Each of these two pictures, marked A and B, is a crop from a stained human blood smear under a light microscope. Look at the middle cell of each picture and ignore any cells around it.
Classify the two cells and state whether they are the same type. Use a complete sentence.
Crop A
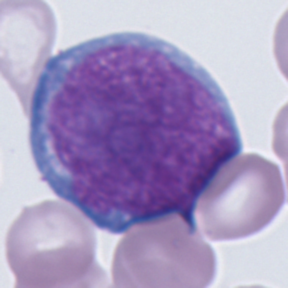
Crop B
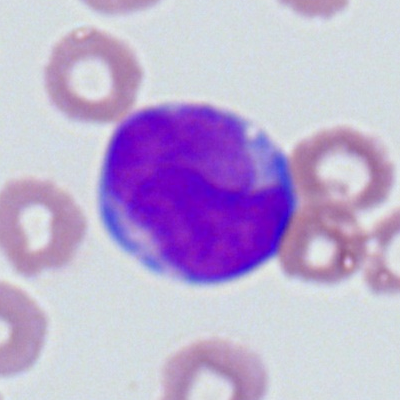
Yes, both crops show blasts, one in each.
